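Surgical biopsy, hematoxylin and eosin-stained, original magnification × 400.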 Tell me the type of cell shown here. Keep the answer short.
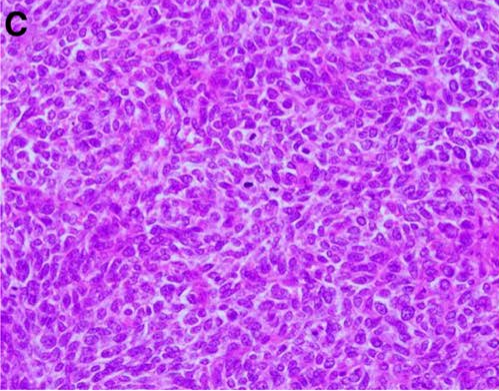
Short spindle cells.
